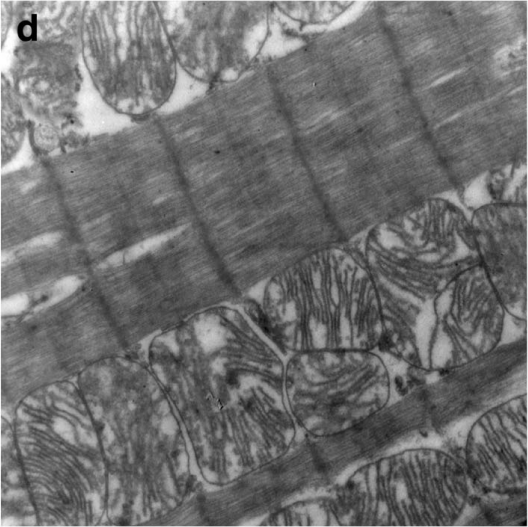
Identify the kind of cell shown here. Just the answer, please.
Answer: Cardiomyocyte.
